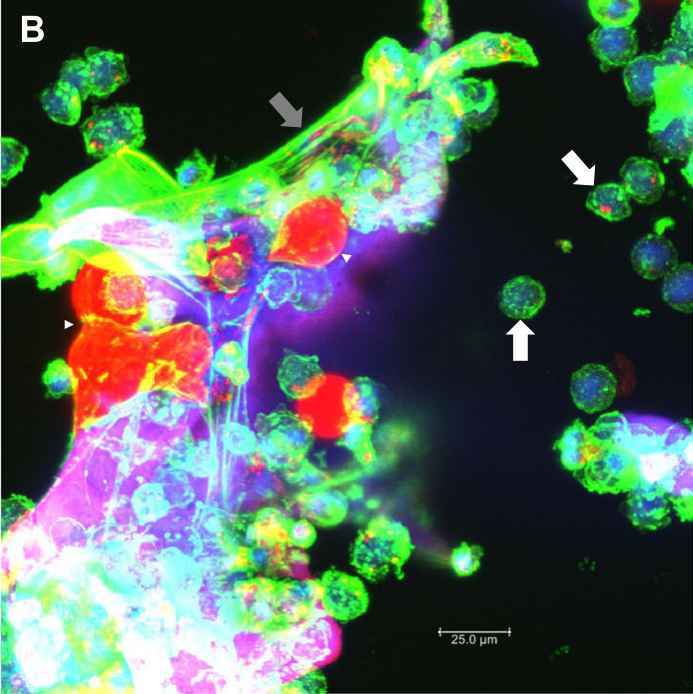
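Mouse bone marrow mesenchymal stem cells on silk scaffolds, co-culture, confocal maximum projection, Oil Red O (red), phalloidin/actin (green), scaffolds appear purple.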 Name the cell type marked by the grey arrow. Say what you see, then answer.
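The grey arrow points at a flat, spread sheet with long green fibres. It contains no red-filled droplets. That points to this answer: undifferentiated stromal cells.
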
